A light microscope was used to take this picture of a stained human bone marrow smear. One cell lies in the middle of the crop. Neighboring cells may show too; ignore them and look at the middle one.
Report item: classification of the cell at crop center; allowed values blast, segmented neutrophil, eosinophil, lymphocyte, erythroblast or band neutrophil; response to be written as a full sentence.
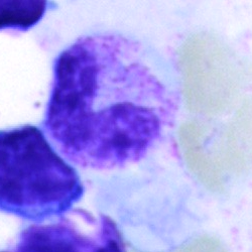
The cell found in the middle of this crop is a band neutrophil.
